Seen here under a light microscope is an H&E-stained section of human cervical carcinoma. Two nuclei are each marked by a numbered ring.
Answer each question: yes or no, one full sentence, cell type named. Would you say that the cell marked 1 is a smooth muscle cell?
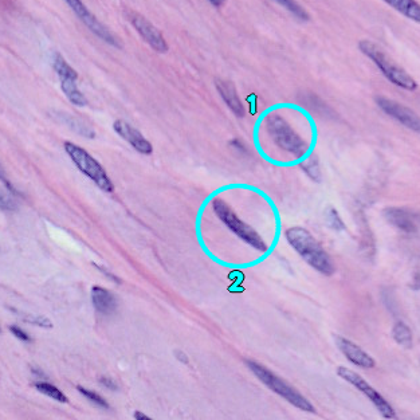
Yes, with respect to number 1, the cell is a smooth muscle cell.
